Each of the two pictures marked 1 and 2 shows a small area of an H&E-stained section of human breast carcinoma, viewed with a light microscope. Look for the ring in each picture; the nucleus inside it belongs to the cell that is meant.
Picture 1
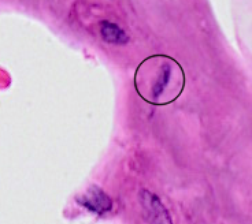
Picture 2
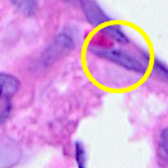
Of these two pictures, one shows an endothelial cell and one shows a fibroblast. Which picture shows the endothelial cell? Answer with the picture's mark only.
2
